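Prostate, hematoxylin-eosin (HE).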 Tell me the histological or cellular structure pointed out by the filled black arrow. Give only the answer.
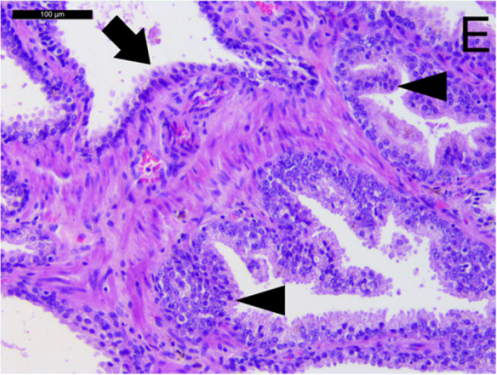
Morphologically normal glands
